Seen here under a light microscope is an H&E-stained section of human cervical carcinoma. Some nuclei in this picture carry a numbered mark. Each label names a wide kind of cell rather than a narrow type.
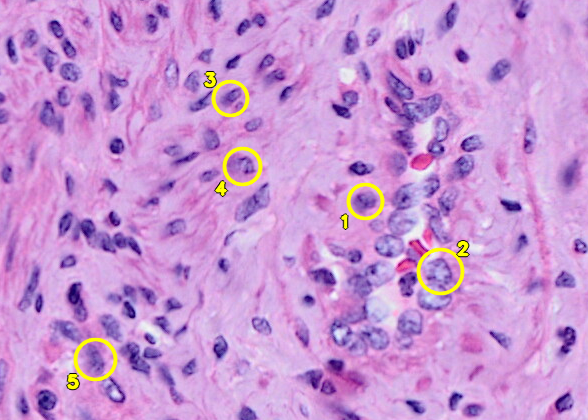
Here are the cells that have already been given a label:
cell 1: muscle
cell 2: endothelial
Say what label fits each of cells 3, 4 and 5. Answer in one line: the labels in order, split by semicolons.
muscle; muscle; endothelial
